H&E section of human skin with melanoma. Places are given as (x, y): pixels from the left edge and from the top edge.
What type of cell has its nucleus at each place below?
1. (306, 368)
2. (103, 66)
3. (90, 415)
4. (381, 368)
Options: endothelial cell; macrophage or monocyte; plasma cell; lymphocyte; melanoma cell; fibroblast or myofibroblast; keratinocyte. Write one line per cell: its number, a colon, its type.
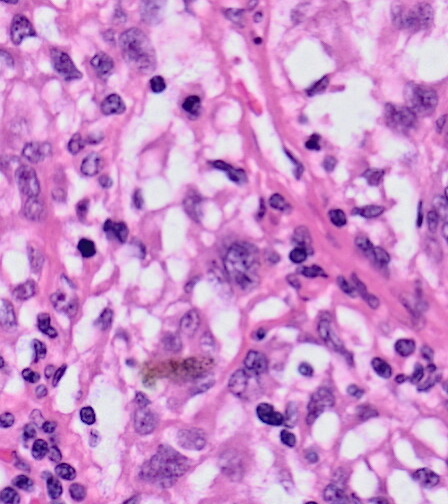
1: lymphocyte
2: melanoma cell
3: lymphocyte
4: lymphocyte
